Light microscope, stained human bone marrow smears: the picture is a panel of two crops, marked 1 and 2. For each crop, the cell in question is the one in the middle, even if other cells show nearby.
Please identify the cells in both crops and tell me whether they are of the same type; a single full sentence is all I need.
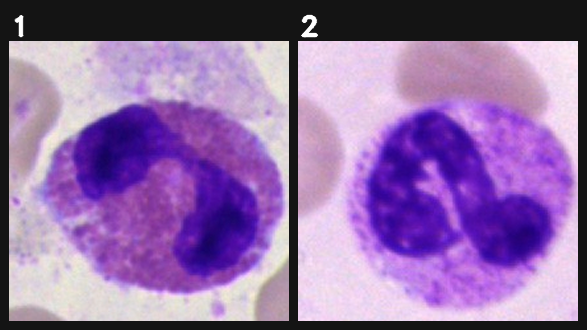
No, crop 1 shows an eosinophil, and crop 2, by contrast, shows a band neutrophil.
